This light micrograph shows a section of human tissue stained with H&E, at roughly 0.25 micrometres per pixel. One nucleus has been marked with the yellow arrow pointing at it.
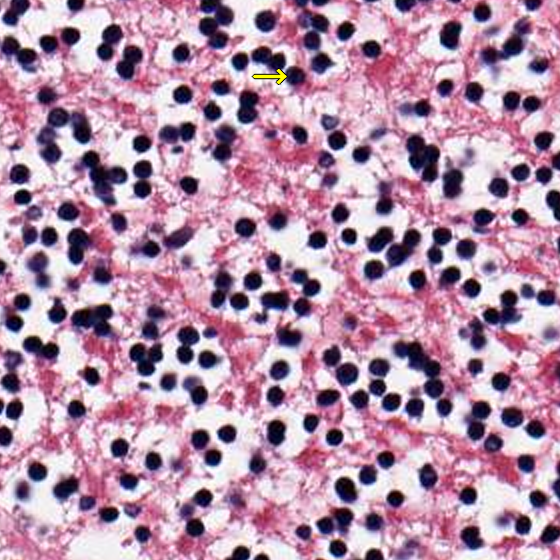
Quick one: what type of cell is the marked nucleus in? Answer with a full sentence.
Located in a cerebellar granule cell is the marked nucleus.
